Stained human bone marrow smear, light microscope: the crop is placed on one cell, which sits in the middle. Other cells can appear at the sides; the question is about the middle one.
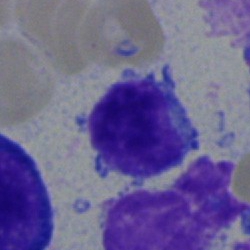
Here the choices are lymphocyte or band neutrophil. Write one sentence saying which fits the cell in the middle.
The cell featured at the centre of this crop is a lymphocyte.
